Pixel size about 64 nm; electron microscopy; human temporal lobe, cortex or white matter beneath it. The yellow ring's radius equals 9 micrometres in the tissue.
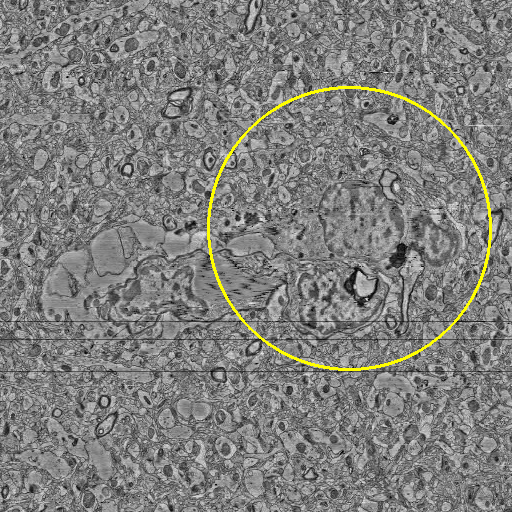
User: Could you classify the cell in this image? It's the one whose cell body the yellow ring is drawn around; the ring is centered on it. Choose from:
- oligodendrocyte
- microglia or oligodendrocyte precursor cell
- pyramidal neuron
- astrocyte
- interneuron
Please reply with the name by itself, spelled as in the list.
oligodendrocyte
